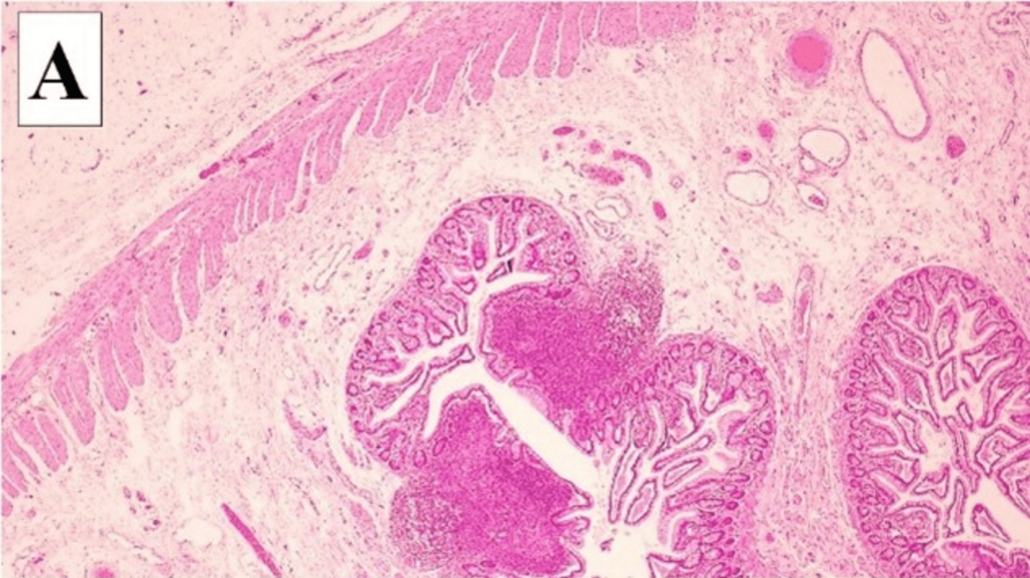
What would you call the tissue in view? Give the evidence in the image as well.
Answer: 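Mucosa forms finger-like villi lined by columnar epithelium. Loose pale connective tissue with vessels lies beneath the mucosa. A band of pink smooth muscle runs along the upper left.
Small bowel.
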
